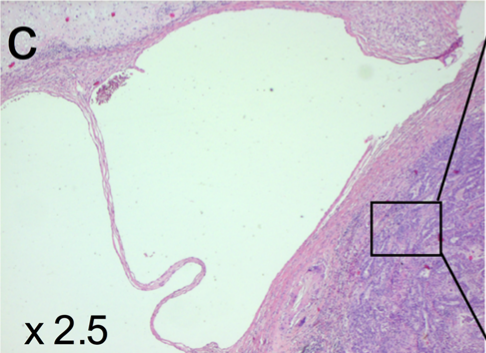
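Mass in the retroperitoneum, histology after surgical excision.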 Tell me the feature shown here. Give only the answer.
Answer: Cystic spaces.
